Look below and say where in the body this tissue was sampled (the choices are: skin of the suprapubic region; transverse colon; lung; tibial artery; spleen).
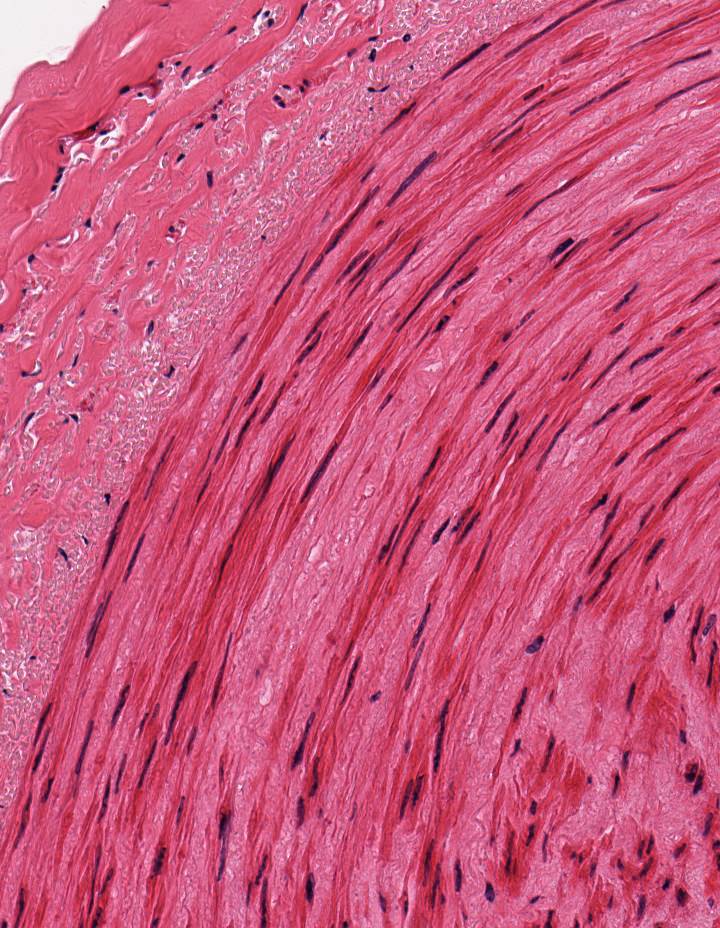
tibial artery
